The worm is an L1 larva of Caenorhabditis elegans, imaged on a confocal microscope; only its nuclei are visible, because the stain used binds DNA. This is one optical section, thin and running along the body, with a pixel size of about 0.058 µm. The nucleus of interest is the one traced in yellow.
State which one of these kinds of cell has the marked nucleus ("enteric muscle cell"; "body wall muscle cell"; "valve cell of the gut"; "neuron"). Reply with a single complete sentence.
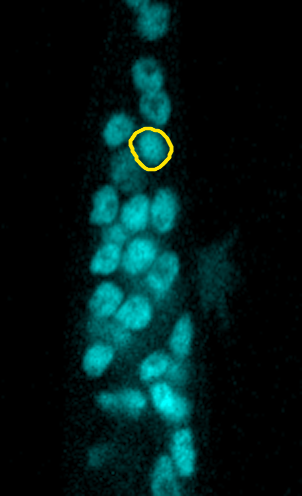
The nucleus comes from a neuron.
